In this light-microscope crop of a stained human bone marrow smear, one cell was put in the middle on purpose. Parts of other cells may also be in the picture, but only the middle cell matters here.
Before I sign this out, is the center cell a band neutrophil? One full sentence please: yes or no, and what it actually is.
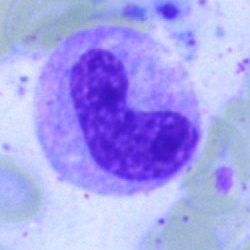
Yes, the cell in the exact middle is a band neutrophil.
